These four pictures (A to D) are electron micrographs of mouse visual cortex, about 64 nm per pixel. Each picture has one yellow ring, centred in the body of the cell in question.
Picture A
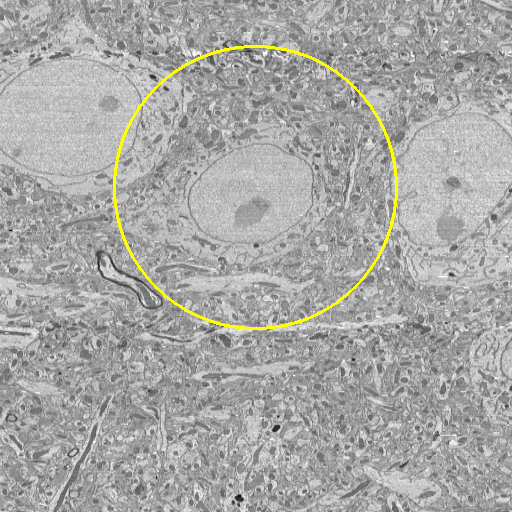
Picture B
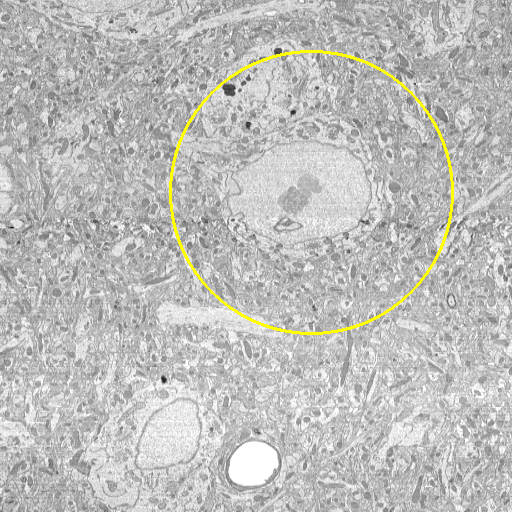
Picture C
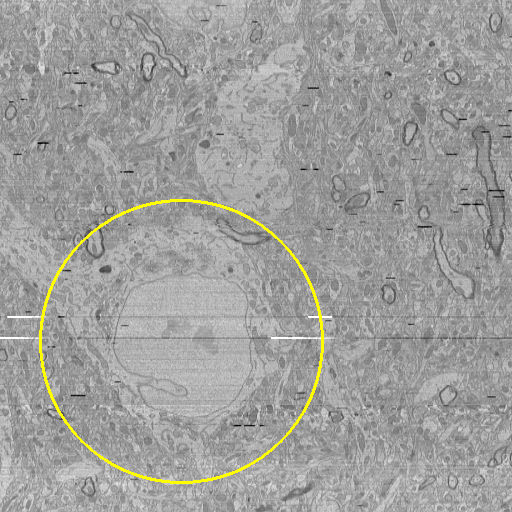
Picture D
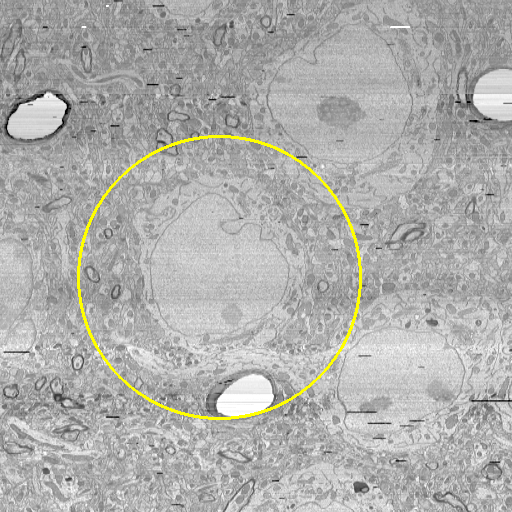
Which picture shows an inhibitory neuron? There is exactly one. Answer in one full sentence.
It is picture B that shows the inhibitory neuron.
